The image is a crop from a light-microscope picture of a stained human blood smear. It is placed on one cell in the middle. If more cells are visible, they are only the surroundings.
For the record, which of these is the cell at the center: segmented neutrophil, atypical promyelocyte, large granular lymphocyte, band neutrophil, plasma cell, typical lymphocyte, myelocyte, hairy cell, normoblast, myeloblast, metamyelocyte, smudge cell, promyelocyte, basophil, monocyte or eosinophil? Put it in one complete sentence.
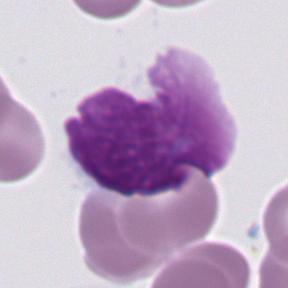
Standing at the centre of this crop is a smudge cell.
